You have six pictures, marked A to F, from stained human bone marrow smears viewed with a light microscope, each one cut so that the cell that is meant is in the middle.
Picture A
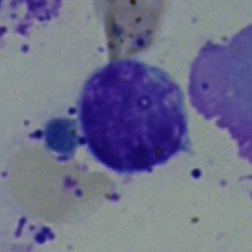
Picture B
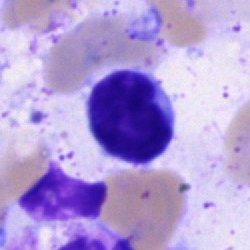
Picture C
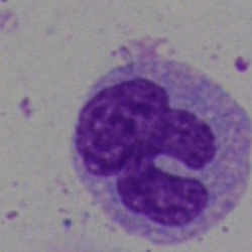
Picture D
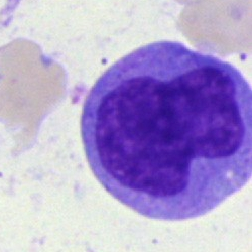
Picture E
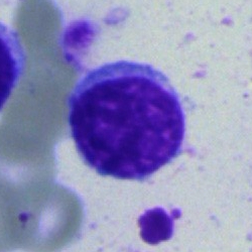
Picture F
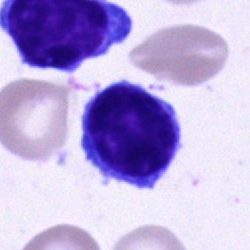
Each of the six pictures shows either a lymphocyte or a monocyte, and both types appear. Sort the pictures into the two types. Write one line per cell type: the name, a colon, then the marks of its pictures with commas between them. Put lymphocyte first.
lymphocyte: A, B, E, F
monocyte: C, D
